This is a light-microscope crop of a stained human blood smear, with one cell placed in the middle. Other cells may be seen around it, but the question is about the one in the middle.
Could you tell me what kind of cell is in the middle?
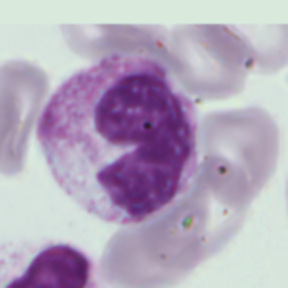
band neutrophil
